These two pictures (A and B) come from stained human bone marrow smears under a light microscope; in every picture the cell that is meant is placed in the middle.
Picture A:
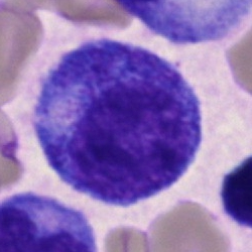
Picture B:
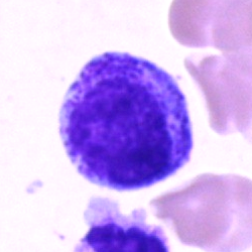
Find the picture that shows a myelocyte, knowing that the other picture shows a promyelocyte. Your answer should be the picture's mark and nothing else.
B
